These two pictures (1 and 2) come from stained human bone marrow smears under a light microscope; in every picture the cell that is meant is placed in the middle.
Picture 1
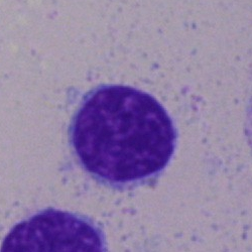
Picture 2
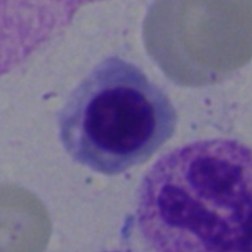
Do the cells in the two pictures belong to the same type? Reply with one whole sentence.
No, the types are not the same, since picture 1 shows a lymphocyte and picture 2 an erythroblast.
